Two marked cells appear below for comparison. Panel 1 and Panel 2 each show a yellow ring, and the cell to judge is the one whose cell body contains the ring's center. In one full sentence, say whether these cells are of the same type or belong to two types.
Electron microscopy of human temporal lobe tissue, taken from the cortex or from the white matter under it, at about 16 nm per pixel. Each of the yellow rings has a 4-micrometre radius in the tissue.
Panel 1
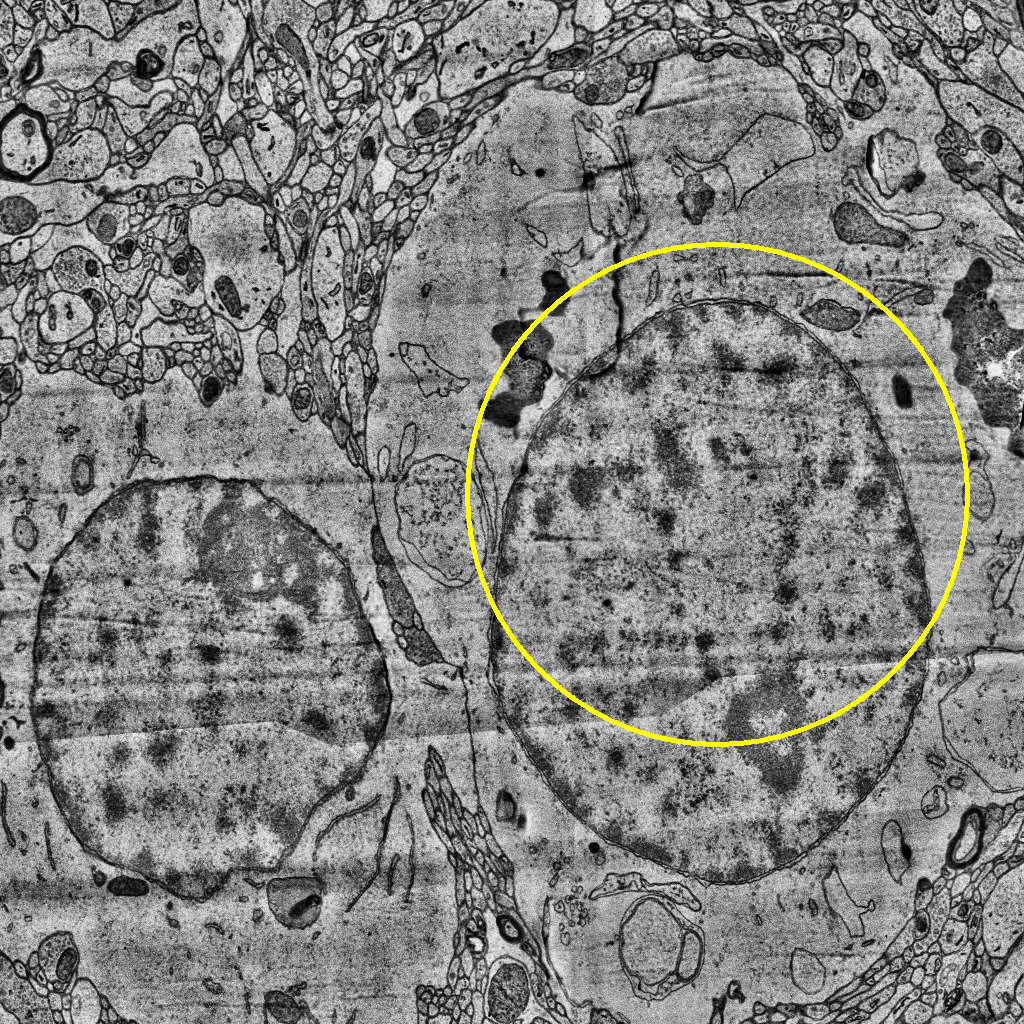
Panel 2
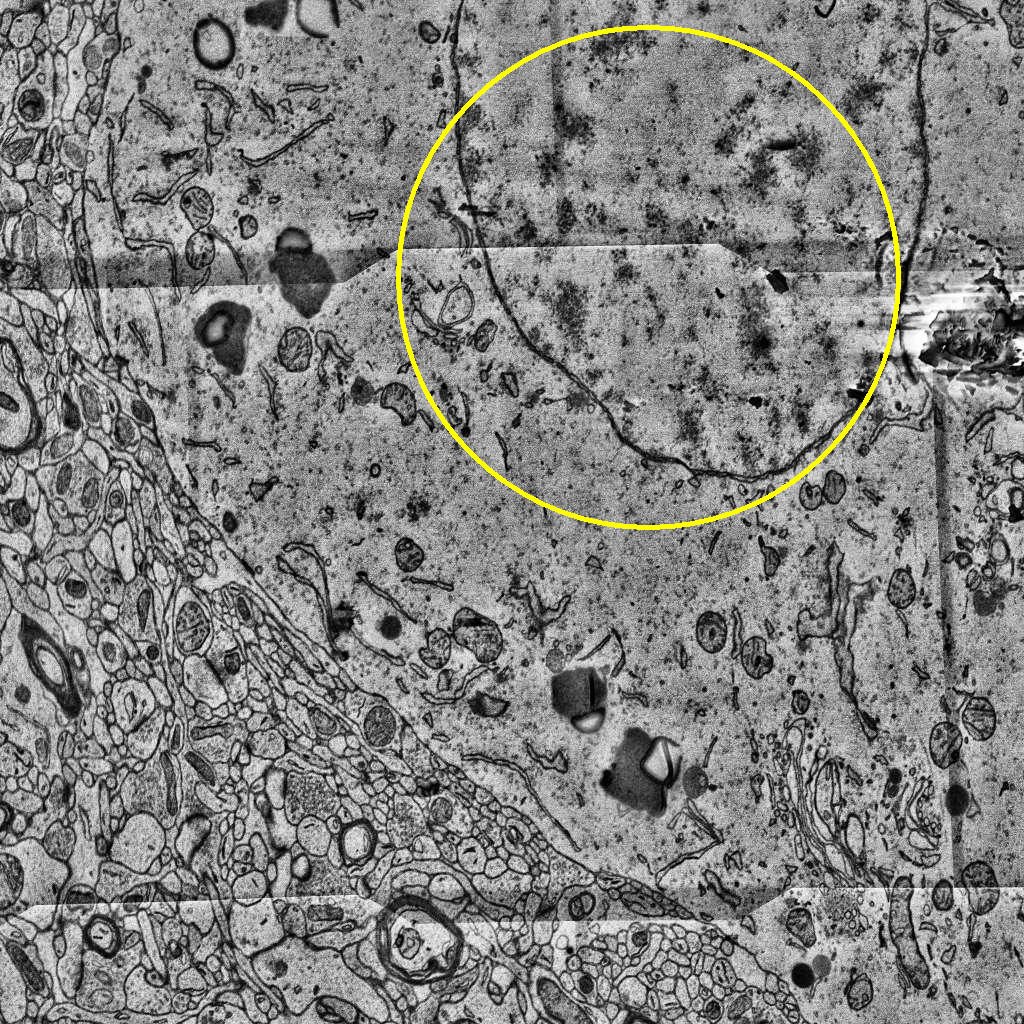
The cell at the ring's center in Panel 1 and the one in Panel 2 belong to two types.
